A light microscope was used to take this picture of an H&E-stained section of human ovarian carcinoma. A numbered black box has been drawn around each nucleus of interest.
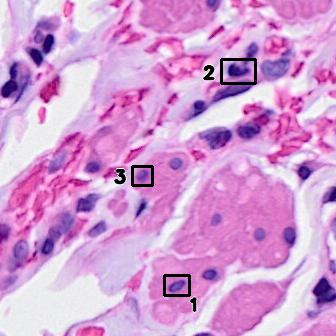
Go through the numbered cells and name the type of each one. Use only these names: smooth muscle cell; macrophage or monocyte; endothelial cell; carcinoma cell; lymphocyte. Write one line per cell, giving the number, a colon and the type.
1: smooth muscle cell
2: lymphocyte
3: smooth muscle cell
